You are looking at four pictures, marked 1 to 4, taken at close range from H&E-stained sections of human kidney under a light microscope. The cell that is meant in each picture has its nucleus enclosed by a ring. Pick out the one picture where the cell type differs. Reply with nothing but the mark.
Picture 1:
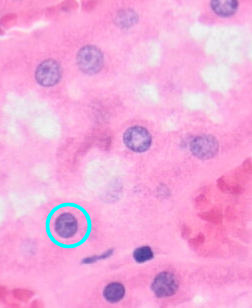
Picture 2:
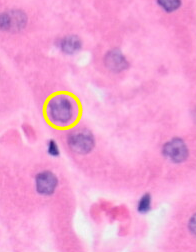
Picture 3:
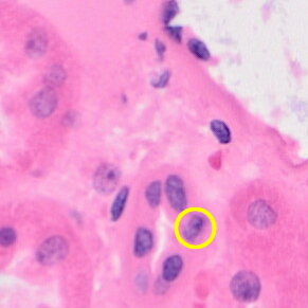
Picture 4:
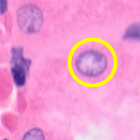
3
